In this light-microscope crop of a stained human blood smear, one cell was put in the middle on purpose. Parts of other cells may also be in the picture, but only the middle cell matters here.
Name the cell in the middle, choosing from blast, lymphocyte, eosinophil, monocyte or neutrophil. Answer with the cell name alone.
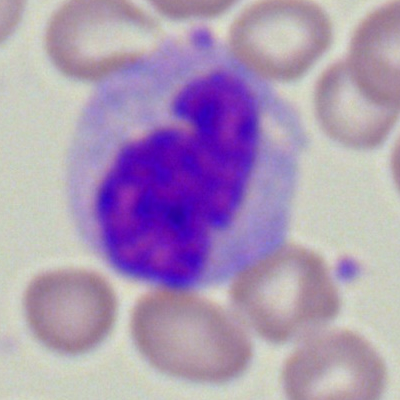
monocyte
